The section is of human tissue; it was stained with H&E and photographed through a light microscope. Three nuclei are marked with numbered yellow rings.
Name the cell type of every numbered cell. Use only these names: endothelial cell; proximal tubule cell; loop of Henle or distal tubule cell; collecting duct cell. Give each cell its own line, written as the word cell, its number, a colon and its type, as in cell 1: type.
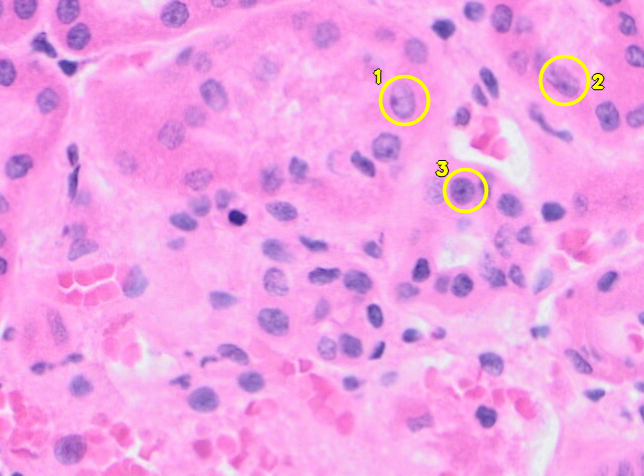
cell 1: proximal tubule cell
cell 2: proximal tubule cell
cell 3: collecting duct cell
